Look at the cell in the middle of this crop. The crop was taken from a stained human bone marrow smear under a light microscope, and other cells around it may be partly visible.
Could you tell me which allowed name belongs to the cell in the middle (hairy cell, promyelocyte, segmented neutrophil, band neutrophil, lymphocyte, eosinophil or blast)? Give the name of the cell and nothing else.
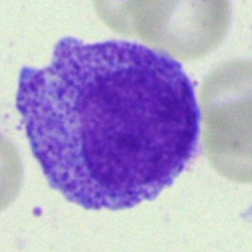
promyelocyte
